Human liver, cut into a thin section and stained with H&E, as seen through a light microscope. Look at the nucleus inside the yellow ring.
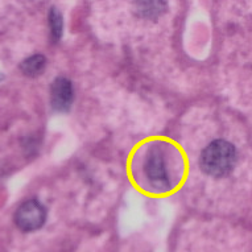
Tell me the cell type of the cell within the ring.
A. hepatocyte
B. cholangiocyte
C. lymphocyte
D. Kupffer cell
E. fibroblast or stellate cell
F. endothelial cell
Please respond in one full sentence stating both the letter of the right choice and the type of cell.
On this slide, the cell within the ring is a Kupffer cell, so option D is right.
